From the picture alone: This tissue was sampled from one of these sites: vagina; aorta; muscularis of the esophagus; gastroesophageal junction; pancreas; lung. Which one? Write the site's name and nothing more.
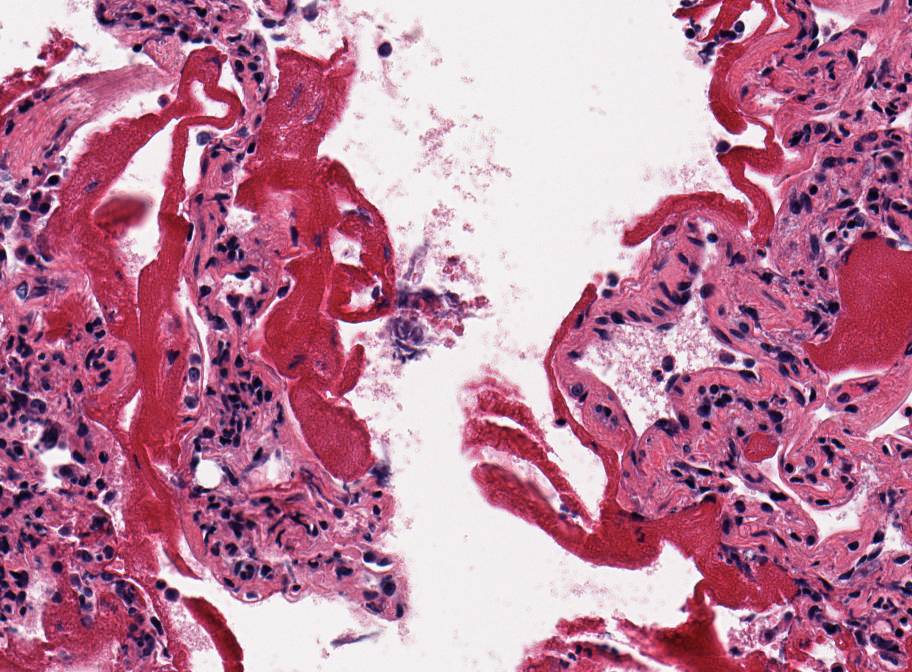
lung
